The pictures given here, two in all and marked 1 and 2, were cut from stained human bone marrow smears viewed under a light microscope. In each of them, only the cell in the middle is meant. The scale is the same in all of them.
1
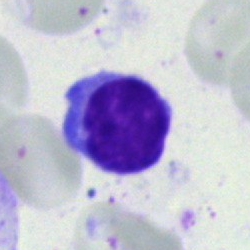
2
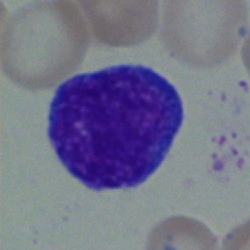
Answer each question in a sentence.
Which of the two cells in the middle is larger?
The cell in picture 2 is larger, with about 1.5 times the area of the one in picture 1.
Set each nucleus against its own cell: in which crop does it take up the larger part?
It is the cell in picture 2 that is filled more by its nucleus.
